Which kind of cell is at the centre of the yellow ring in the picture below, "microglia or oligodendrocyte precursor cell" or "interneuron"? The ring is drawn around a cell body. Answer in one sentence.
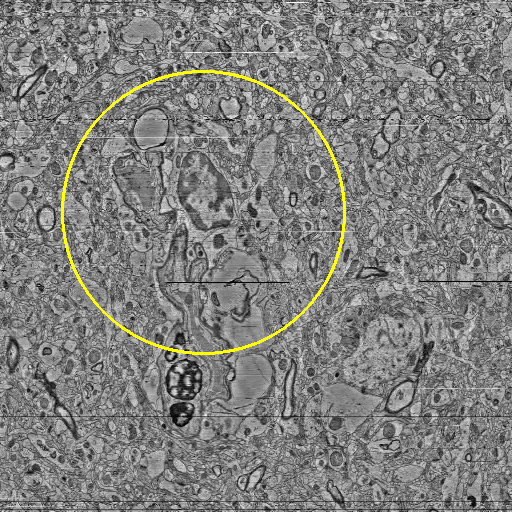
The ring's central cell is a microglial cell or oligodendrocyte precursor cell.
